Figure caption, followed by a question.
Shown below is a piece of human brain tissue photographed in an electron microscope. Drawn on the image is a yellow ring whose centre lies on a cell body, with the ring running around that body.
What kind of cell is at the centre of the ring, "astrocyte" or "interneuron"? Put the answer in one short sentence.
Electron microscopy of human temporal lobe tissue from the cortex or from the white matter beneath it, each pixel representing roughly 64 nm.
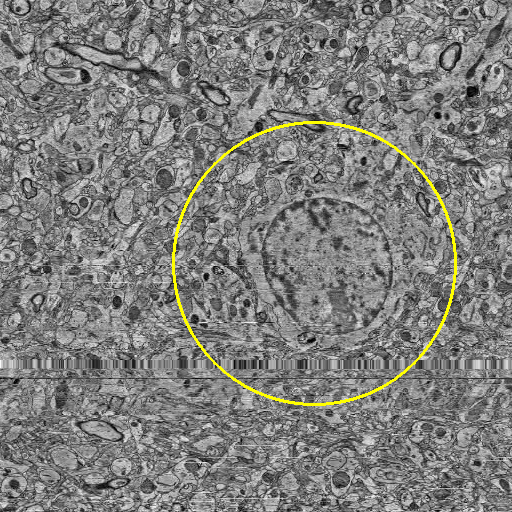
The ring marks the cell body of an astrocyte.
